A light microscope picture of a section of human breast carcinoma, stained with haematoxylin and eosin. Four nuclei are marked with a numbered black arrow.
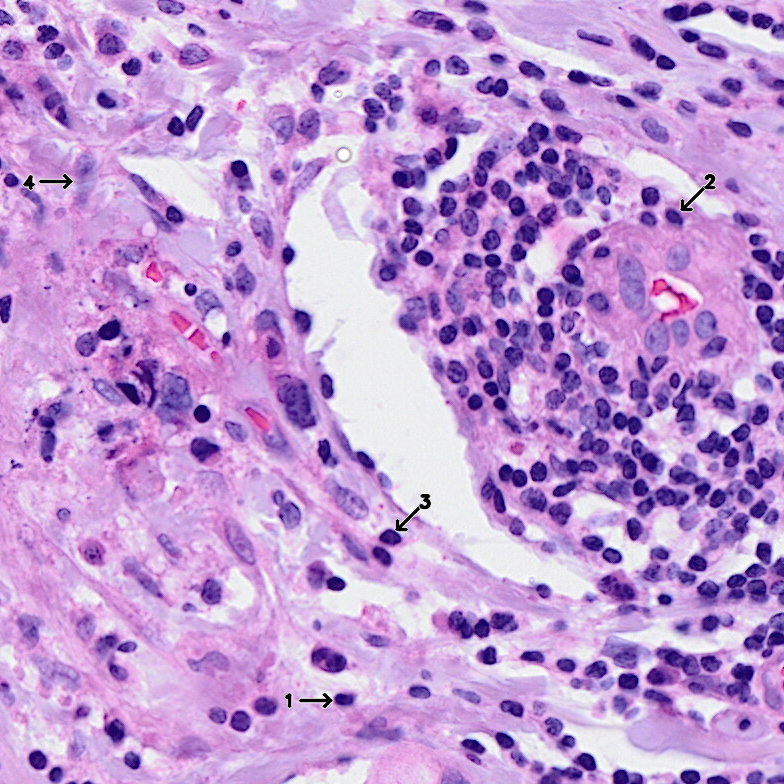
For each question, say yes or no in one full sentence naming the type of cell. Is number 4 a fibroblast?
Yes, the cell with the number 4 is a fibroblast.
